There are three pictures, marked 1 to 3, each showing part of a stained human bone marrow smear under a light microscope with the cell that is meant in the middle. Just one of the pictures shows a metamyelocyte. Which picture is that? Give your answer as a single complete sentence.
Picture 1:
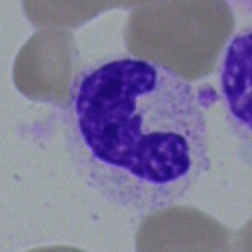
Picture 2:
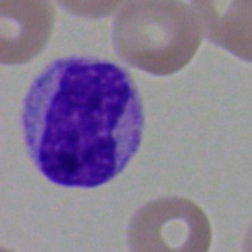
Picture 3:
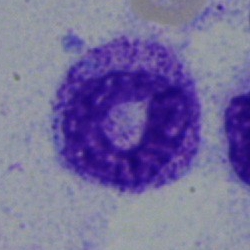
Picture 2 shows the metamyelocyte.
